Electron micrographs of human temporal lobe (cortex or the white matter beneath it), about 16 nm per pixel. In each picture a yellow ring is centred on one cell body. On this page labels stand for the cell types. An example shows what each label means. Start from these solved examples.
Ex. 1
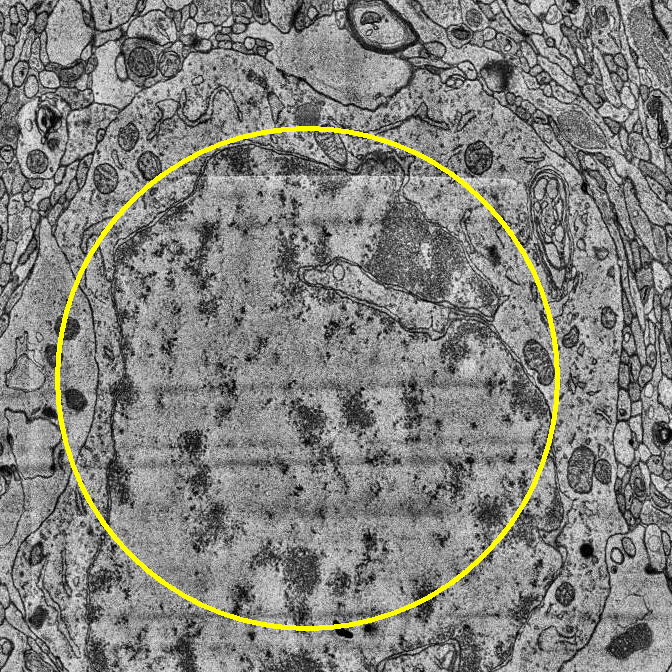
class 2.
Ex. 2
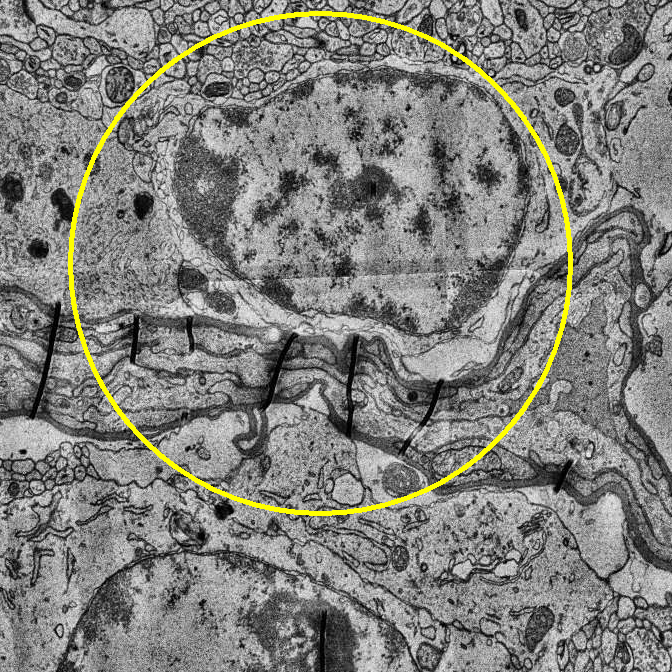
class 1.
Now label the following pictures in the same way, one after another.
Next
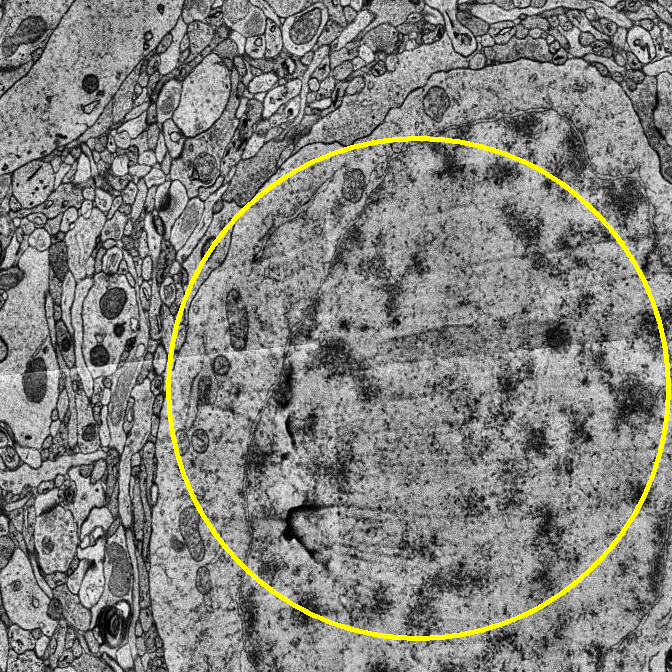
class 2.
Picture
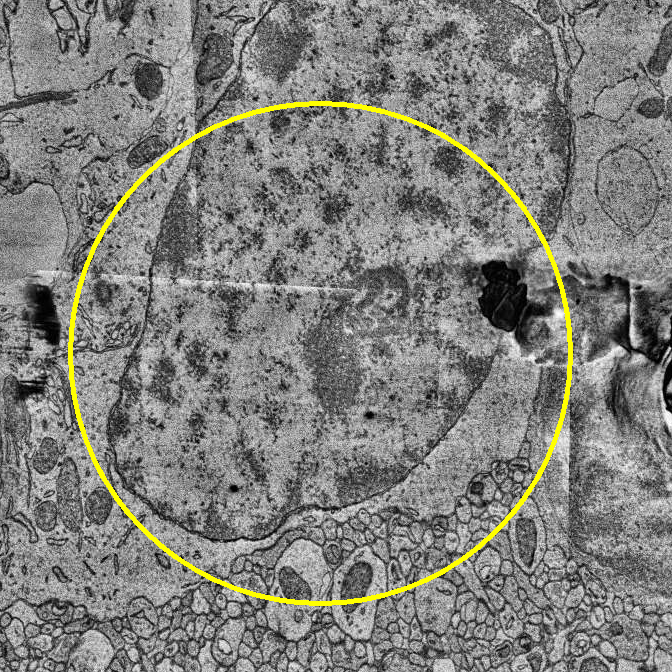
class 1.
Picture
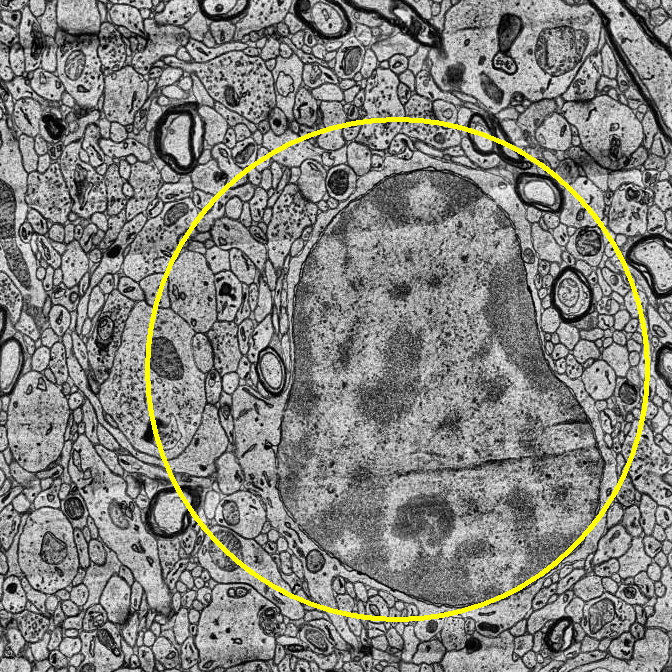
class 1.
